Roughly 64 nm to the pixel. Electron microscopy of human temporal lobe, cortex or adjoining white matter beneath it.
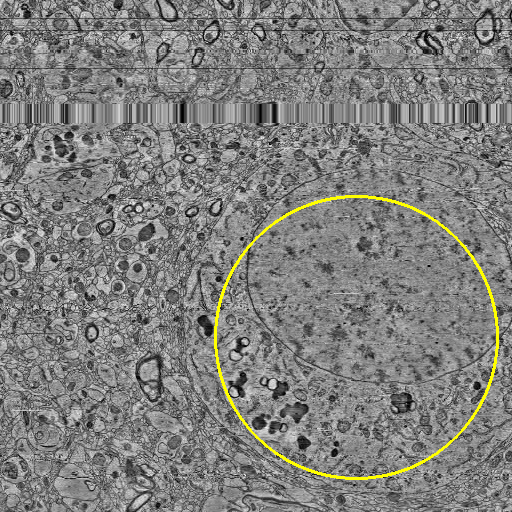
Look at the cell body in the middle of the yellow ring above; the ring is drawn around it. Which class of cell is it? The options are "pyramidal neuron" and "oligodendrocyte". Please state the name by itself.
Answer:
pyramidal neuron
